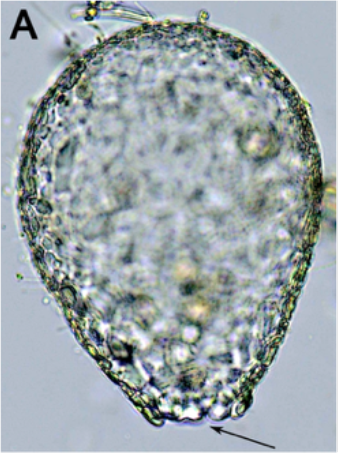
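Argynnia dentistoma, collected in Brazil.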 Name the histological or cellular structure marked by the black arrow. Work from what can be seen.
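The arrow points to the narrower end of a pear-shaped shell. Rounded plates form an uneven edge at that end. The answer: pseudostome.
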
